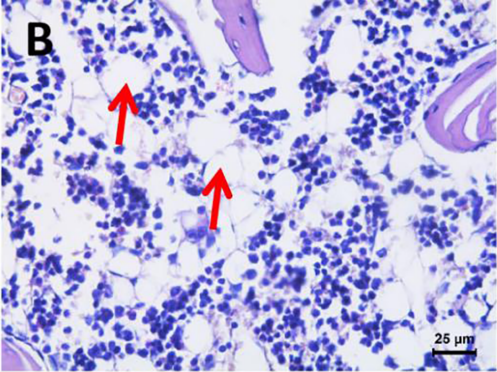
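Bone marrow in which many large, round, clear adipocytes with thin pale borders lie among the hematopoietic cells. Pink-staining bone trabeculae cross the upper part and the right edge of the field. Red blood cells are sparse.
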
